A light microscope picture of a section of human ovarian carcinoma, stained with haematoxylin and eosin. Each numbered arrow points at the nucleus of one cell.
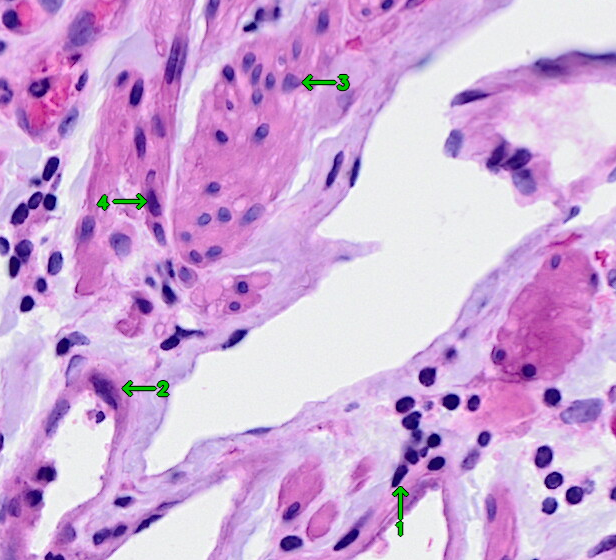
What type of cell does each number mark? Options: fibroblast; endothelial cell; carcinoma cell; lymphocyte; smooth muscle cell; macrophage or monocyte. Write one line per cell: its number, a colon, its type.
1: lymphocyte
2: endothelial cell
3: smooth muscle cell
4: smooth muscle cell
